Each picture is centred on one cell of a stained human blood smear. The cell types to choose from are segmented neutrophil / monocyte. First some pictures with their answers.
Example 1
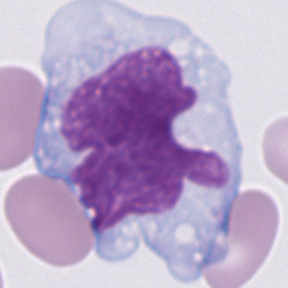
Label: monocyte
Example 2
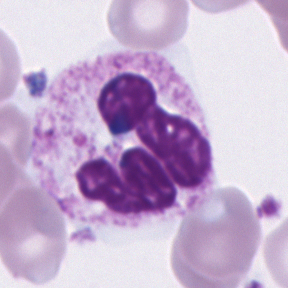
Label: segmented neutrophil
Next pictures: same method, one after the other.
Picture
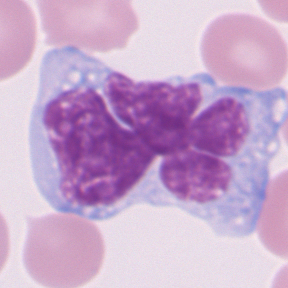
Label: monocyte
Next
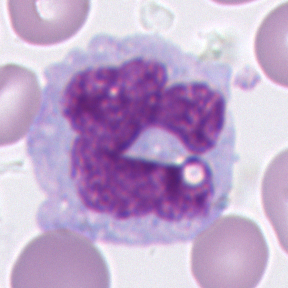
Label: monocyte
